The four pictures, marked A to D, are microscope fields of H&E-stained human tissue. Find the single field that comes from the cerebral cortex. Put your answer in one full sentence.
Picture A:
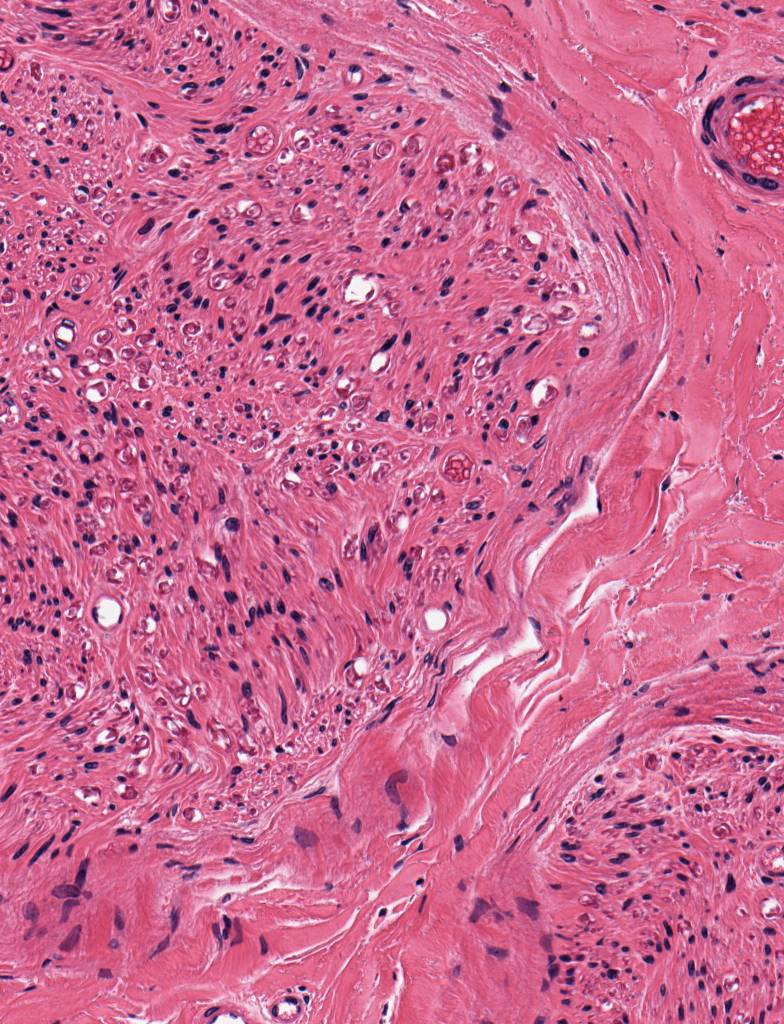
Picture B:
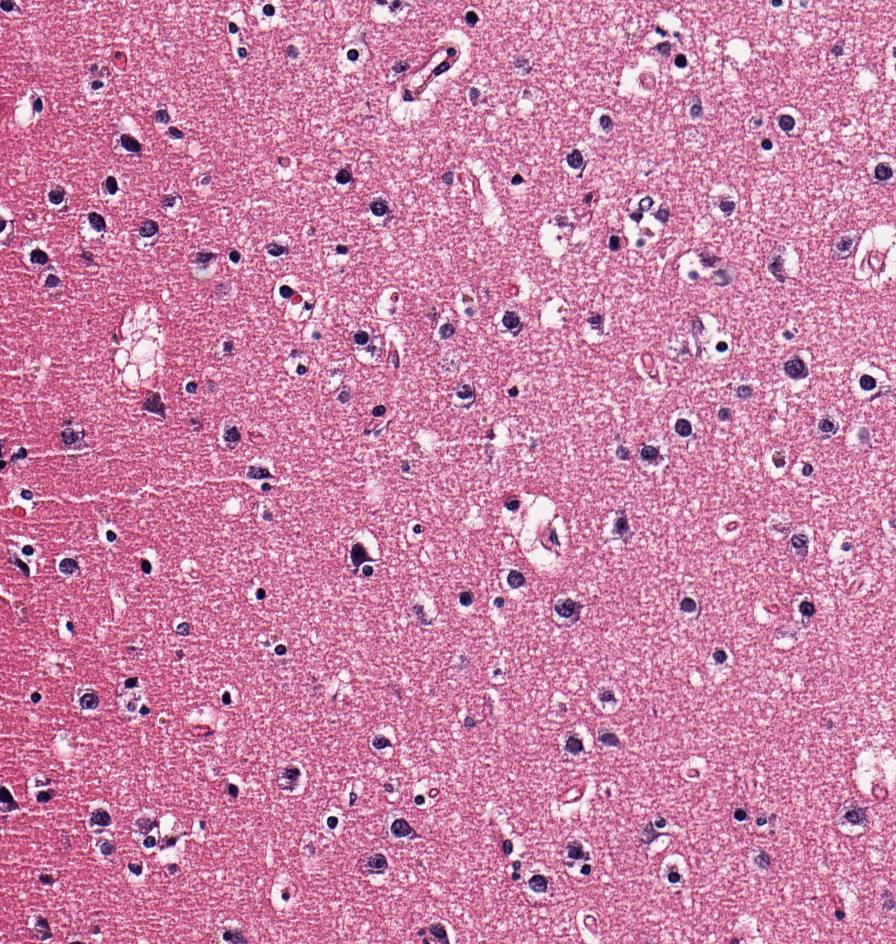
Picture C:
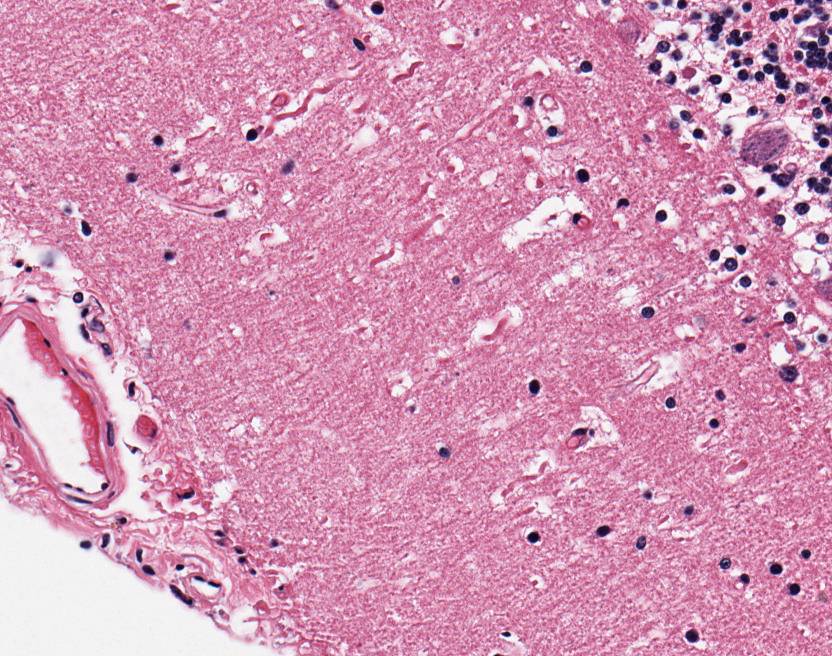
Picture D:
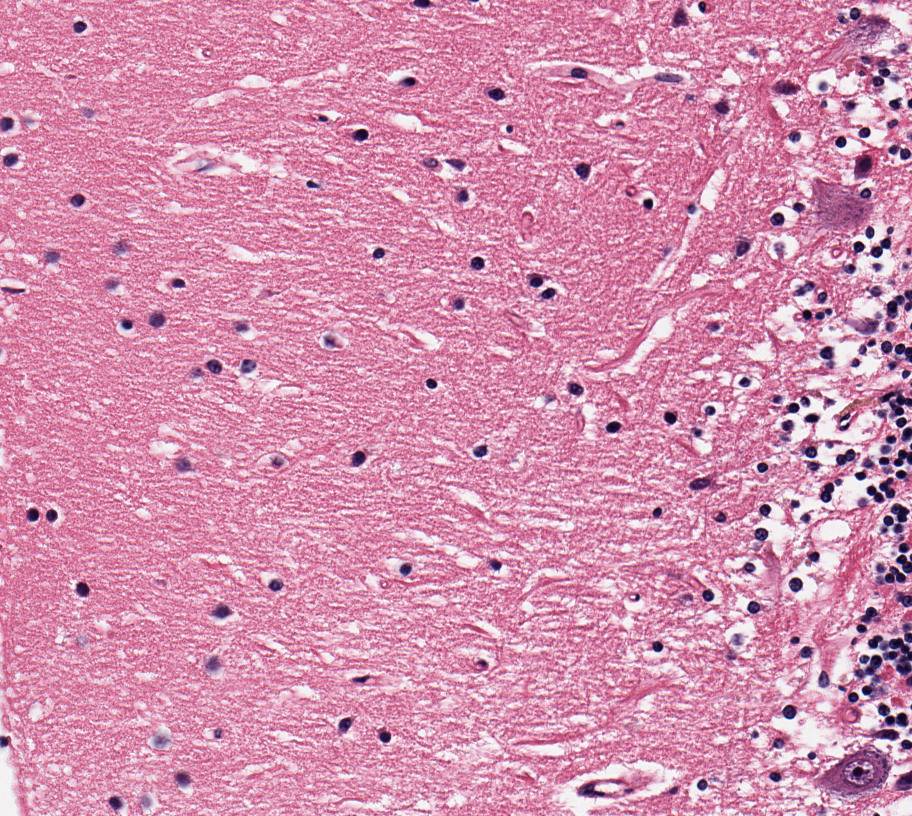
Picture B is the field that comes from the cerebral cortex.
